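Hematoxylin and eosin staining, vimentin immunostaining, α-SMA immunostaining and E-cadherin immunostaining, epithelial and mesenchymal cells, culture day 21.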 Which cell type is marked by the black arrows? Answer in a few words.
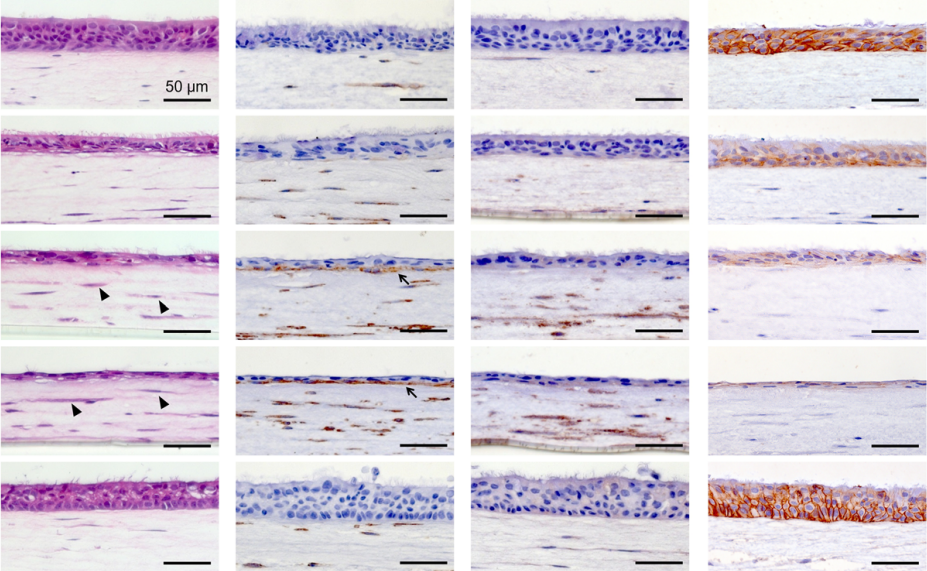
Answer: Basal cells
